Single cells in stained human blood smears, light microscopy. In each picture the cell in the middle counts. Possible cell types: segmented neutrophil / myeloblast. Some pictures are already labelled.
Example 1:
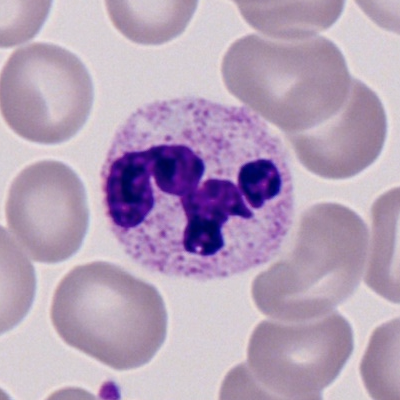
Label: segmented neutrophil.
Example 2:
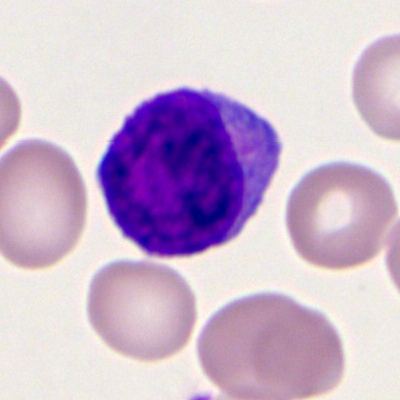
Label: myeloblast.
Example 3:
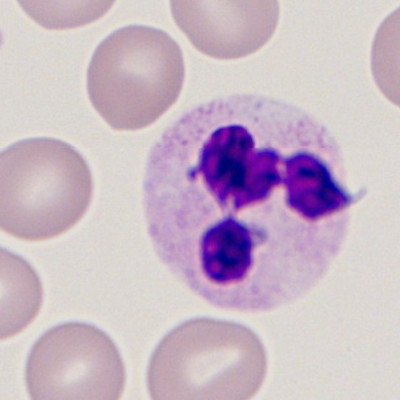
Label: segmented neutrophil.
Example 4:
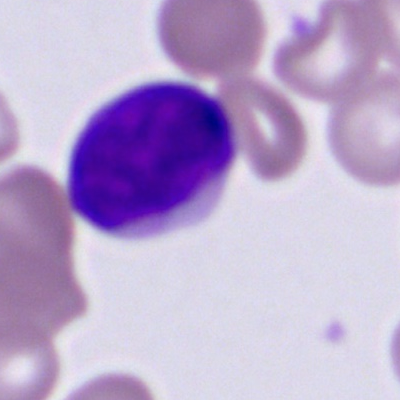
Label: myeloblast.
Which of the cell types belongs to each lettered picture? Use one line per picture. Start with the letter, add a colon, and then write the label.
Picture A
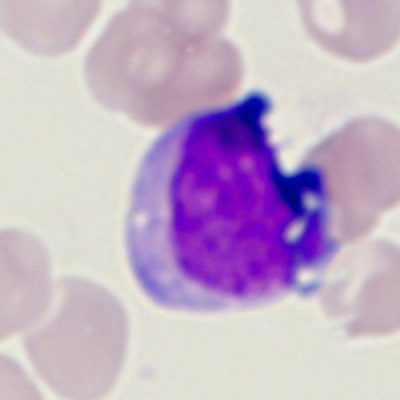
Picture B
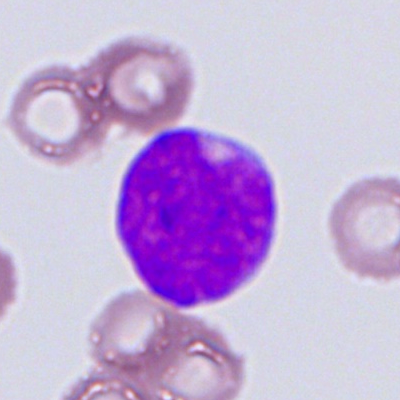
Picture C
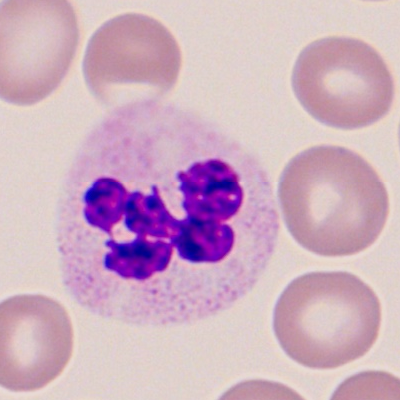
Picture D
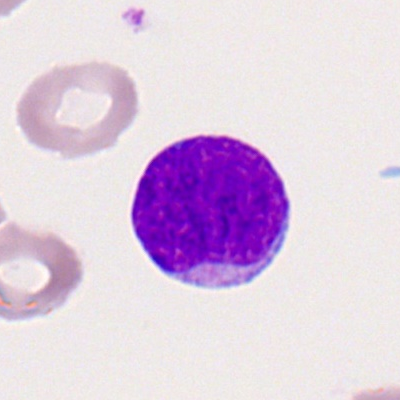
A: myeloblast.
B: myeloblast.
C: segmented neutrophil.
D: myeloblast.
